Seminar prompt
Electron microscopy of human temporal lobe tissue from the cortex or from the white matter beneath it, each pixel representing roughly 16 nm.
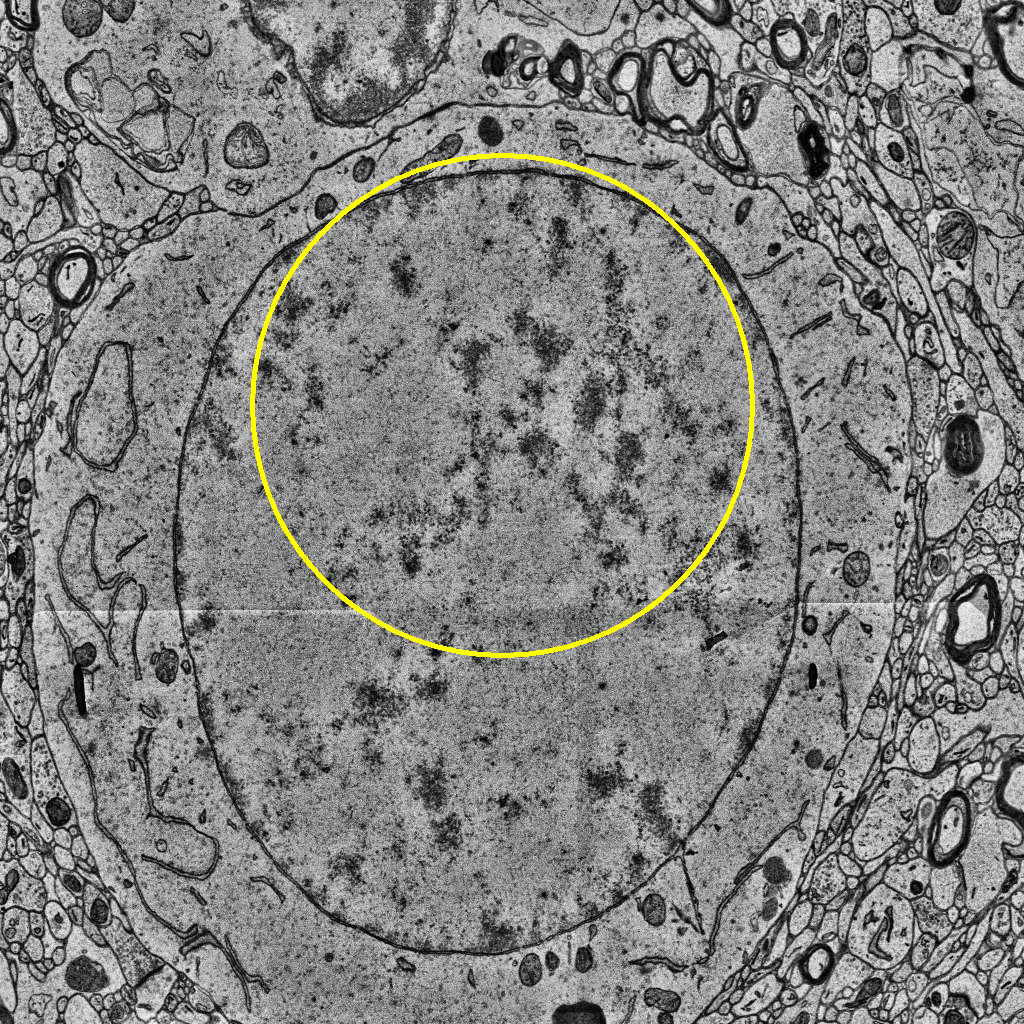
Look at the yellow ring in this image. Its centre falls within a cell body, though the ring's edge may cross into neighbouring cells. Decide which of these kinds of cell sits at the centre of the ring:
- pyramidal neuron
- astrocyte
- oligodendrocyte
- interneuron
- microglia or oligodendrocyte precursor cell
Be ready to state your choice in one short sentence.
The kind of cell at the ring's centre is a pyramidal neuron.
